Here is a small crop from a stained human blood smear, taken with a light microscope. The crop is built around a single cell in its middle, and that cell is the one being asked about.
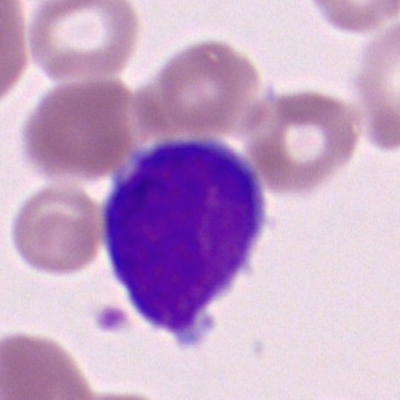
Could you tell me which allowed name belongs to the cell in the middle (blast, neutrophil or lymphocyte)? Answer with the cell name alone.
blast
